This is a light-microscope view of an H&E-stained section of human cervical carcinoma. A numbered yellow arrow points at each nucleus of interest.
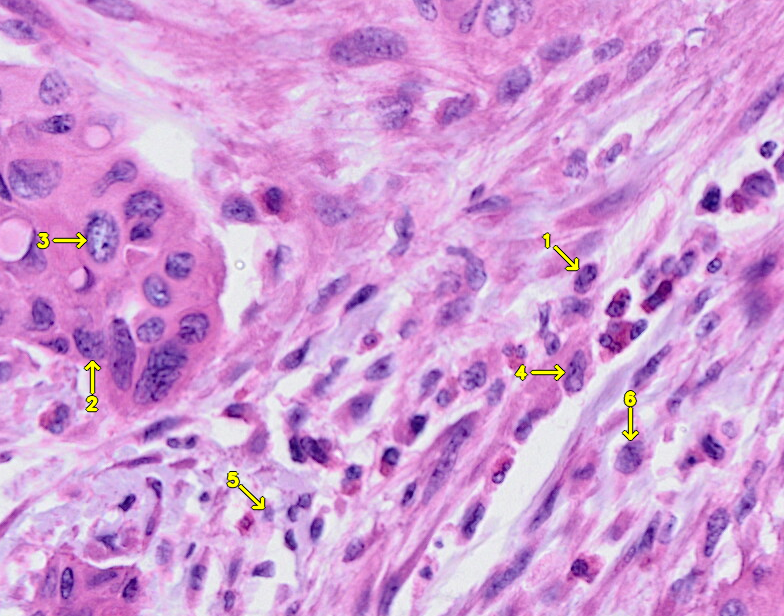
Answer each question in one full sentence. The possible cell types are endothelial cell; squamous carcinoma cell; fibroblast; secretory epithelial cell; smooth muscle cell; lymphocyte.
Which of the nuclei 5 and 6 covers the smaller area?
The smaller nucleus is 5, and 6 covers roughly 4 times its area.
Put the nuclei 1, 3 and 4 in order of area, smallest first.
By area, going up from the smallest, they rank 1, 4, 3.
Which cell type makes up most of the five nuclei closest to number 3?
Around number 3, most of the five nearest nuclei are those of squamous carcinoma cells.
